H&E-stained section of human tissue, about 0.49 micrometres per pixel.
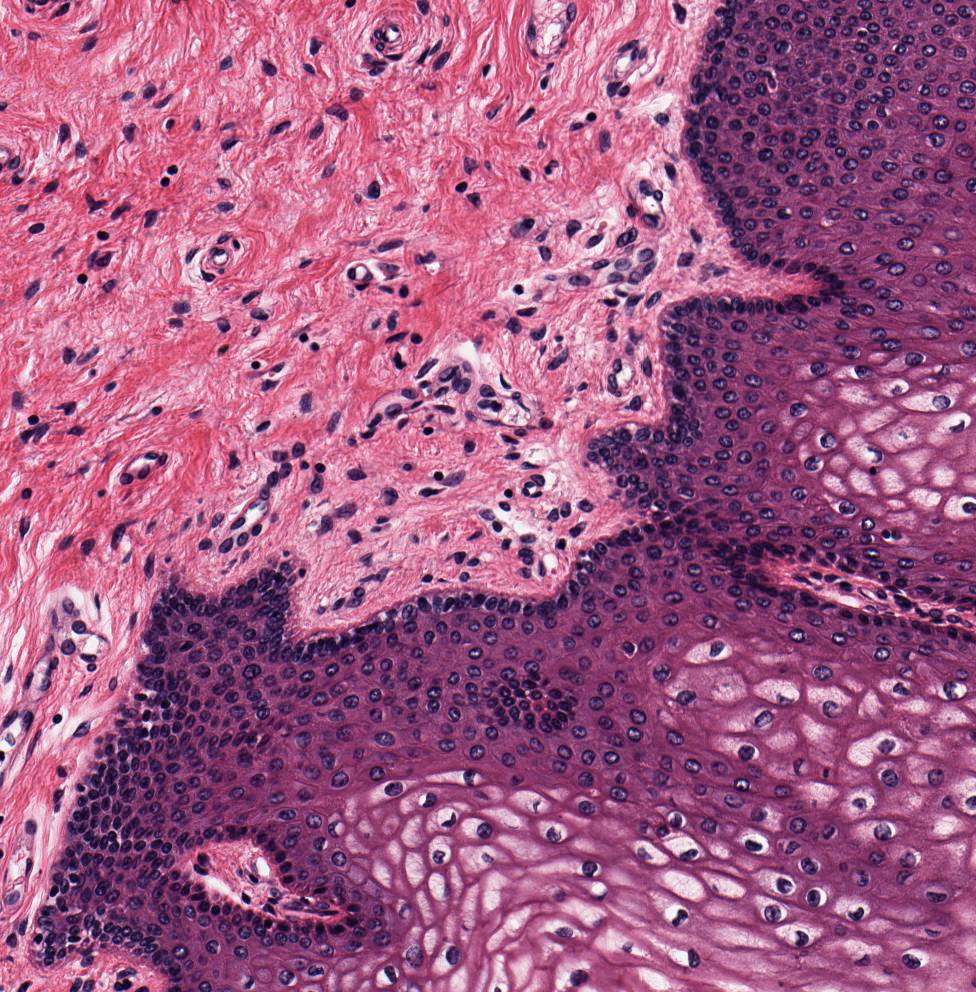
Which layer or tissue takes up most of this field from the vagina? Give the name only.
nonkeratinized stratified squamous epithelium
